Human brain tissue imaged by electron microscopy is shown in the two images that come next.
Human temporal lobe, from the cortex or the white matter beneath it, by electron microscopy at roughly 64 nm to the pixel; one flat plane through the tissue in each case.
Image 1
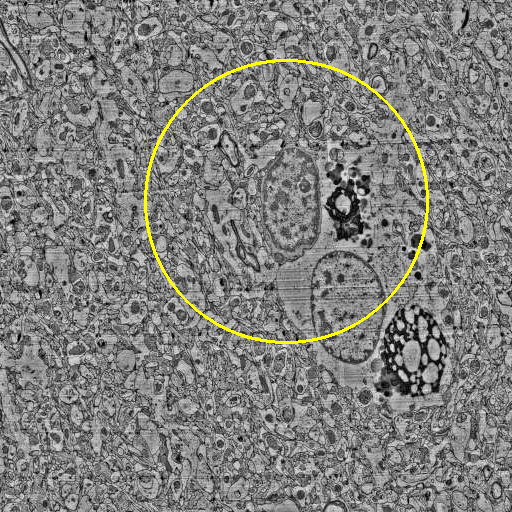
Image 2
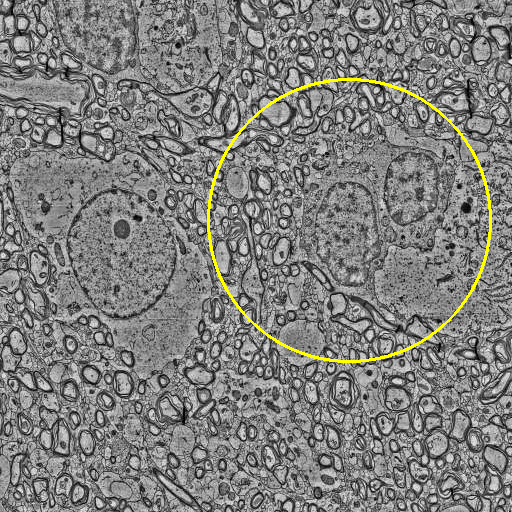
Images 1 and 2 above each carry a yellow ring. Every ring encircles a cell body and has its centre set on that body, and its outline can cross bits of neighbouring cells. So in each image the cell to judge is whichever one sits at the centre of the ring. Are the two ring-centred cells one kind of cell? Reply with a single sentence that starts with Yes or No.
Yes, in Image 1 and Image 2 the cells at the centres of their rings fall into one type.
